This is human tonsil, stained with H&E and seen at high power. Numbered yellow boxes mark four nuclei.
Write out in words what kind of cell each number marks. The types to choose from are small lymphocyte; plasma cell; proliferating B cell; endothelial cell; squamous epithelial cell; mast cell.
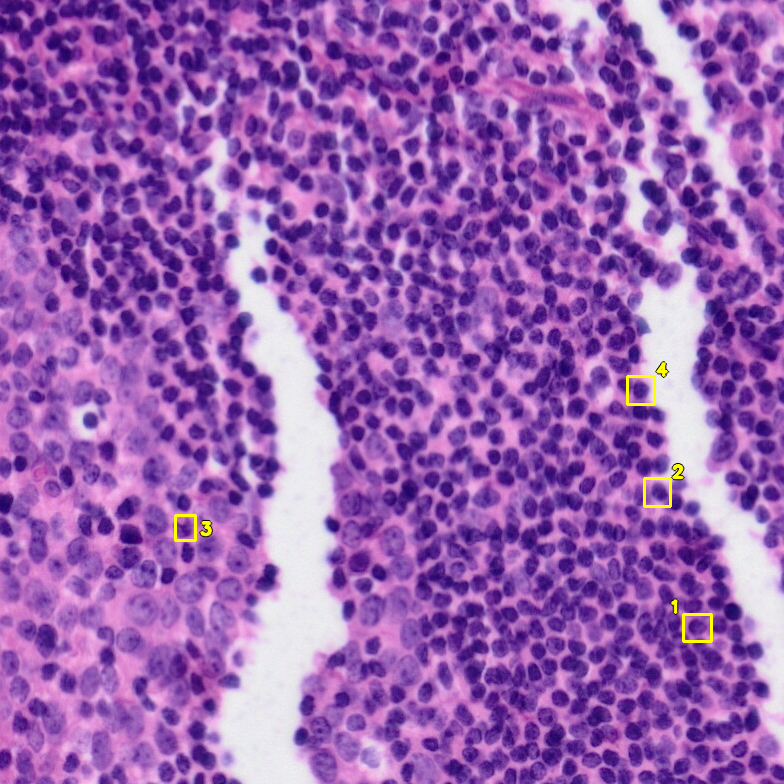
Cell 1 is a small lymphocyte, cell 2 is a small lymphocyte, cell 3 is a proliferating B cell and cell 4 is a small lymphocyte.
